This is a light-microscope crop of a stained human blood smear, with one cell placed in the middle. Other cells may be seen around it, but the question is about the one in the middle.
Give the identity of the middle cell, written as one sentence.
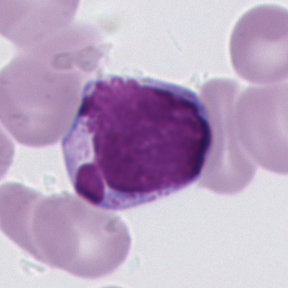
The cell in the middle of this crop is a large granular lymphocyte.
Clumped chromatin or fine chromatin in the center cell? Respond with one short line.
Its chromatin is finely dispersed rather than coarsely clumped.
